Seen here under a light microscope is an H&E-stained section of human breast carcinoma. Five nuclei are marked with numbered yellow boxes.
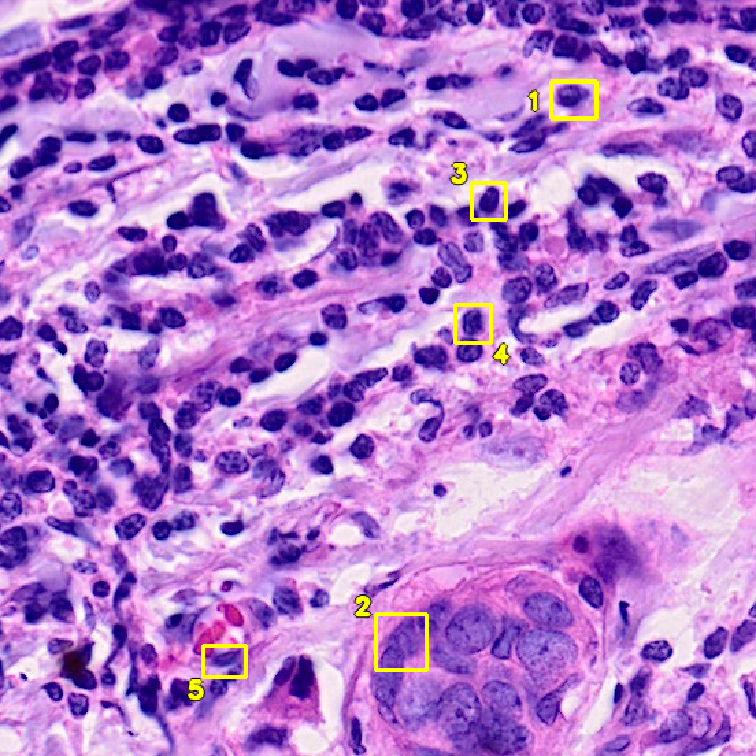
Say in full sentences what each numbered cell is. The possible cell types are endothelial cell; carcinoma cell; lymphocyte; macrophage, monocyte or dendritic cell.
Cells 1, 3 and 4 are lymphocytes. Cell 2 is a carcinoma cell. Cell 5 is an endothelial cell.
